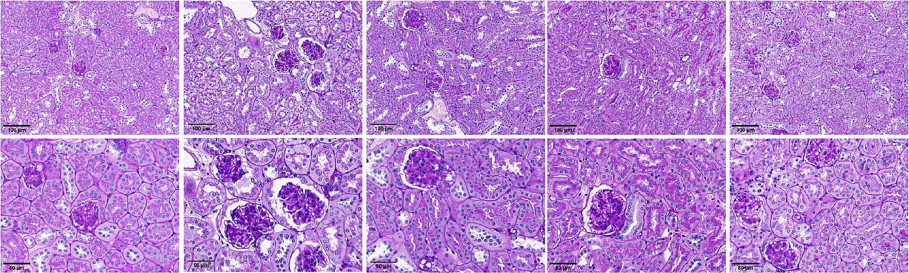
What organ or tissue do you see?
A: Kidney tissues.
